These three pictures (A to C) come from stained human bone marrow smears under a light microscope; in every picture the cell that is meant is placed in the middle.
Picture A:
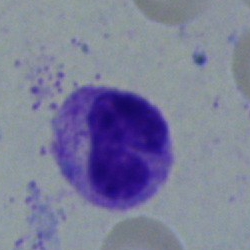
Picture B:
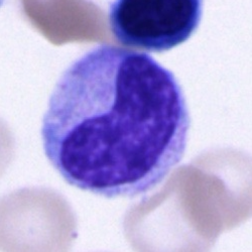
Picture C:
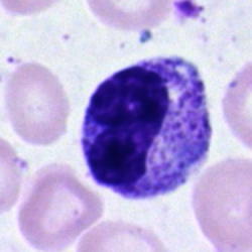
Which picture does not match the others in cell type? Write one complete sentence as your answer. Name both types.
Unlike the rest, which show metamyelocytes, picture A shows a band neutrophil.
